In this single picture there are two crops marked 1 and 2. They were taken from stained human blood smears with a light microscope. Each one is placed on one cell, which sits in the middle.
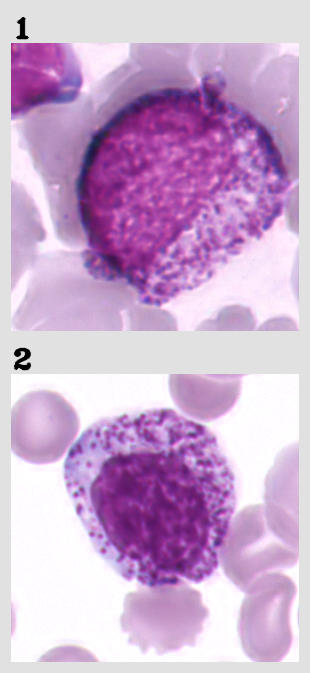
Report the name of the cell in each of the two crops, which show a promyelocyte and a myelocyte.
1: promyelocyte
2: myelocyte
